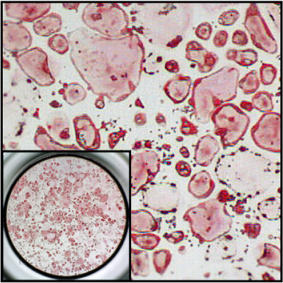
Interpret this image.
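A culture with many osteoclasts, large multinucleated giant cells, that are stained red. These cells are flat and rounded to irregular, many times larger than the small round cells scattered between them. Their staining is darkest along the rims, and their centres are paler pink. The giant cells lie close together and in places touch one another.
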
